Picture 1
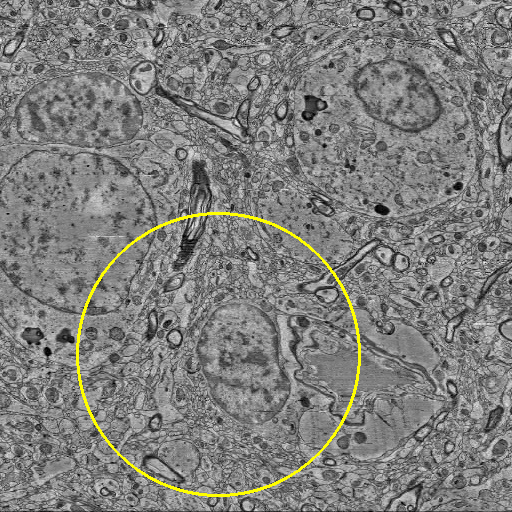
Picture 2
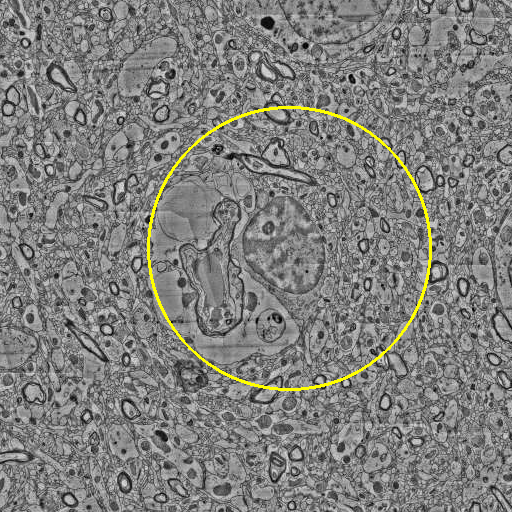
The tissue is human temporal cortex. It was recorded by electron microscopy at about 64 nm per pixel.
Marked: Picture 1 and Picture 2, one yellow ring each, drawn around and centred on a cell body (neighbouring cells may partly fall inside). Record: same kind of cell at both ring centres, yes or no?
yes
